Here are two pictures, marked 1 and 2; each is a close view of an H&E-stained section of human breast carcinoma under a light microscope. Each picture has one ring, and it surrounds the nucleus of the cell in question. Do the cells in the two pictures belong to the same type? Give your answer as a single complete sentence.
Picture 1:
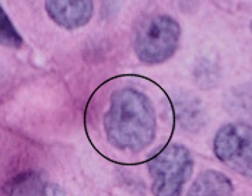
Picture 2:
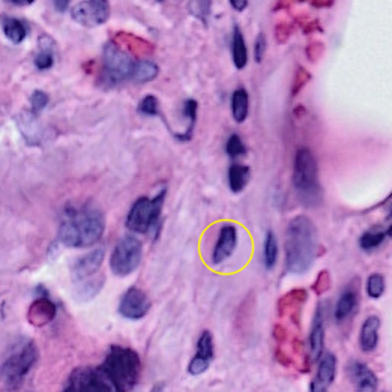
No, the types are not the same, since picture 1 shows a carcinoma cell and picture 2 a mast cell.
